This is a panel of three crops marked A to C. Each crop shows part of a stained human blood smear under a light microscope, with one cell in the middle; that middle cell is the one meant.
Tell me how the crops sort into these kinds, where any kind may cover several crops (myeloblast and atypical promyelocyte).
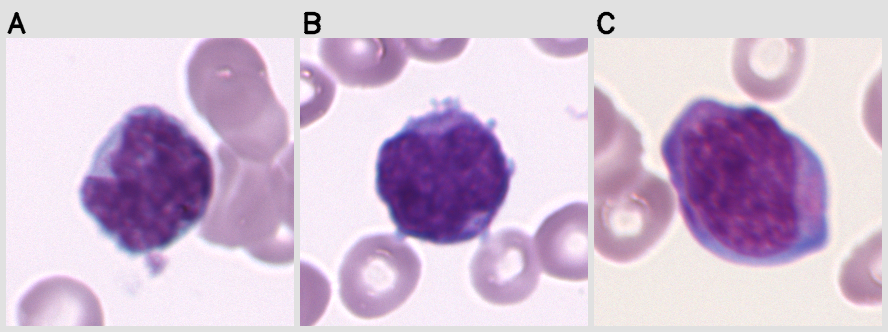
A: myeloblast
B: atypical promyelocyte
C: atypical promyelocyte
